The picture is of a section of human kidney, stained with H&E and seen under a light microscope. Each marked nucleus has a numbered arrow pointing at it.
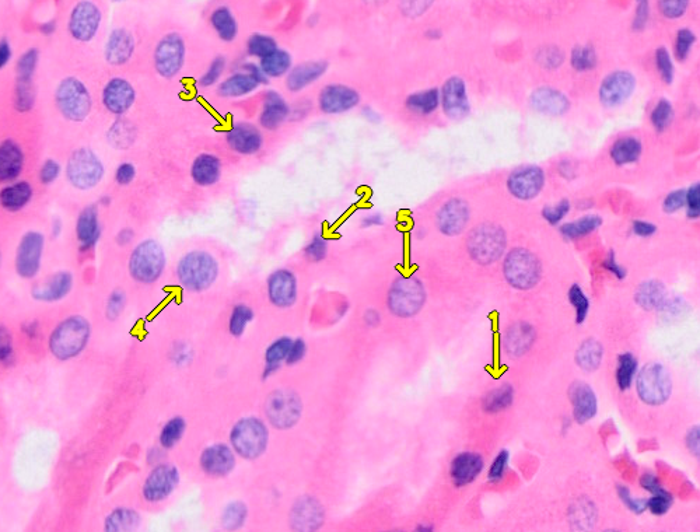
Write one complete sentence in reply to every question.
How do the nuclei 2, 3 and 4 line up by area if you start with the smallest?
From smallest to largest, the order is 2, 3, 4.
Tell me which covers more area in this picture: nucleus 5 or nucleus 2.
Number 5 is larger; its area is about 2.5 times that of number 2.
